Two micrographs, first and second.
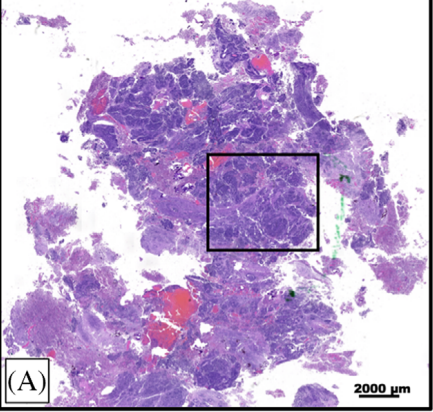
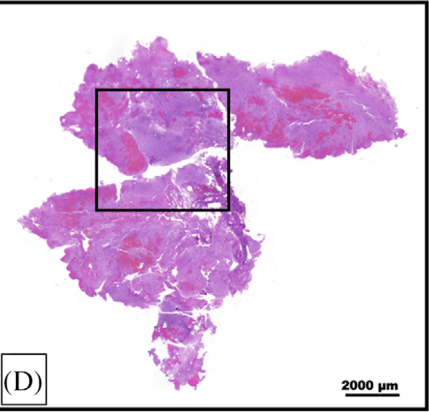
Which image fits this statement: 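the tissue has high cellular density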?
The first image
